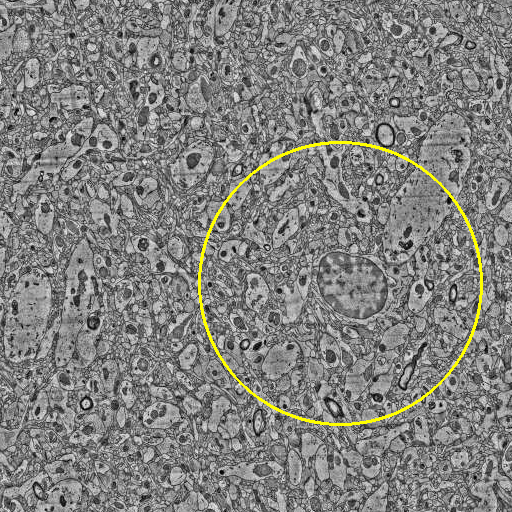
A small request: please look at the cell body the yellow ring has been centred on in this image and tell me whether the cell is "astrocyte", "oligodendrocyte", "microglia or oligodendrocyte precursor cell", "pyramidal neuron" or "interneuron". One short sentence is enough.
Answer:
The cell marked by the ring is a microglial cell or oligodendrocyte precursor cell.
